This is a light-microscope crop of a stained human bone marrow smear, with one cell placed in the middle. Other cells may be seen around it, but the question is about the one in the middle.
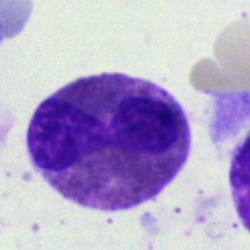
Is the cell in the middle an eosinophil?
yes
